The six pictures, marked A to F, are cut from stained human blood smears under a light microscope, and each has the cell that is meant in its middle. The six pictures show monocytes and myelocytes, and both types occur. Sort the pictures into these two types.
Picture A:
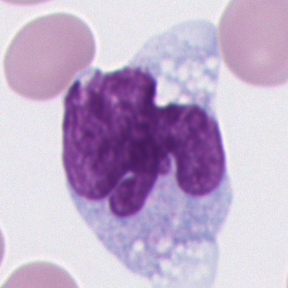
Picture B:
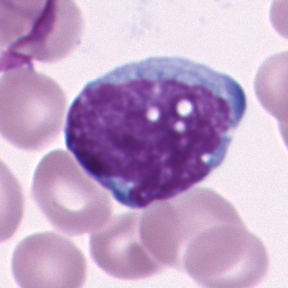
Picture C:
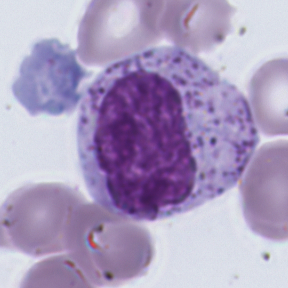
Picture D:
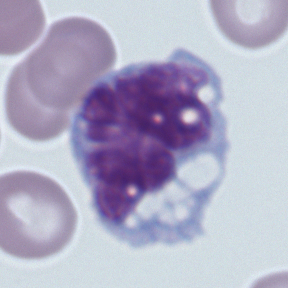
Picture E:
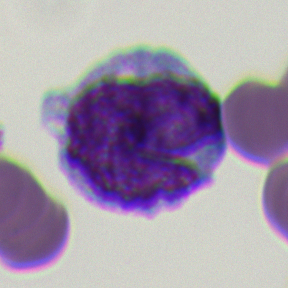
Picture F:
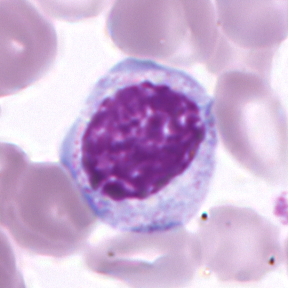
A: monocyte
B: monocyte
C: myelocyte
D: monocyte
E: monocyte
F: myelocyte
